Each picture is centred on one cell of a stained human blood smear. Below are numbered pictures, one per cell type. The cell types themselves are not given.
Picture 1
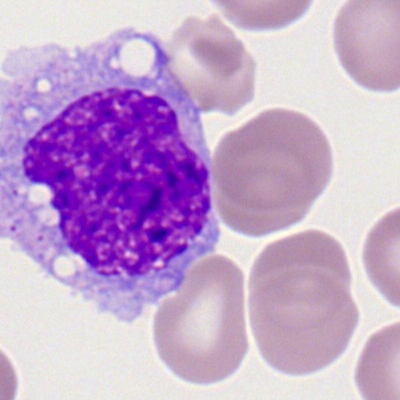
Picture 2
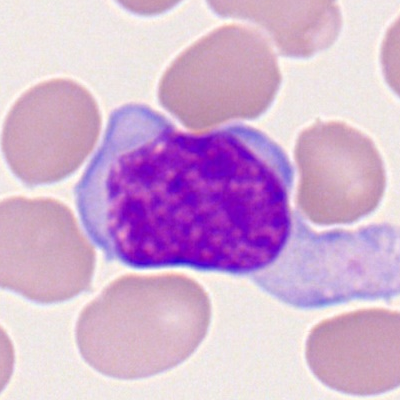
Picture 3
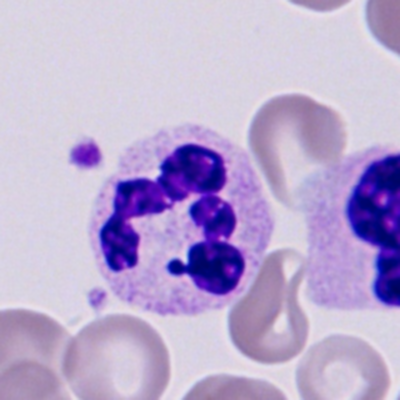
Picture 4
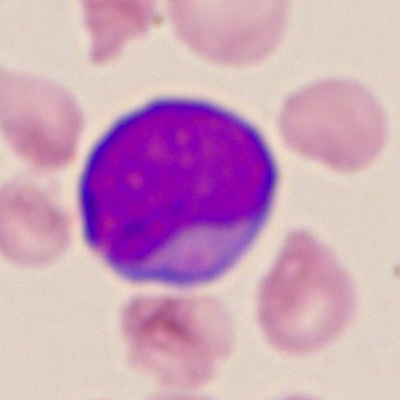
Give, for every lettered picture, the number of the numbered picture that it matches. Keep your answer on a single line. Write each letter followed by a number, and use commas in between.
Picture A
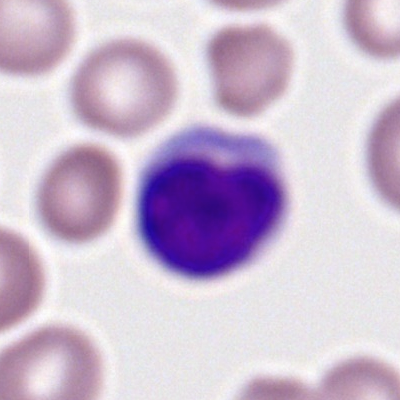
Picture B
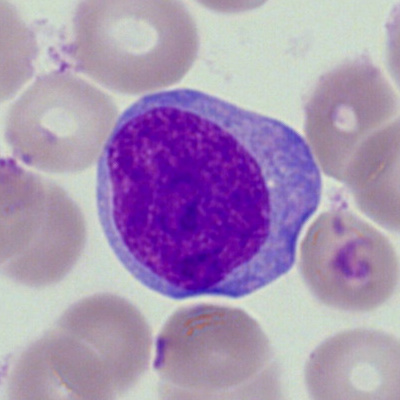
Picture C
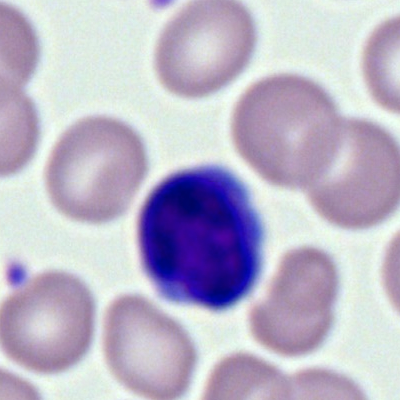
A 2, B 4, C 2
